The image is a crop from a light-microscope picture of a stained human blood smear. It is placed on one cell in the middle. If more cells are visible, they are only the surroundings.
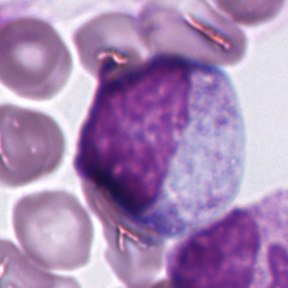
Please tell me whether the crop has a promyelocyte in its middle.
no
